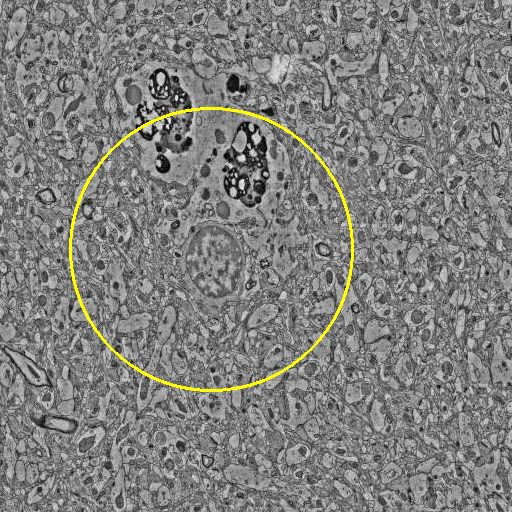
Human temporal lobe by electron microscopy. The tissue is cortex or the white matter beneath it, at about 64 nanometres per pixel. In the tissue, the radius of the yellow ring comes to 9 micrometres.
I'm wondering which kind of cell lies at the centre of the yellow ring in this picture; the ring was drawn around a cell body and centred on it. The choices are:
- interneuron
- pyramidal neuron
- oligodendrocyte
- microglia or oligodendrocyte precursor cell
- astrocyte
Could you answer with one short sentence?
At the centre of the ring lies an oligodendrocyte.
